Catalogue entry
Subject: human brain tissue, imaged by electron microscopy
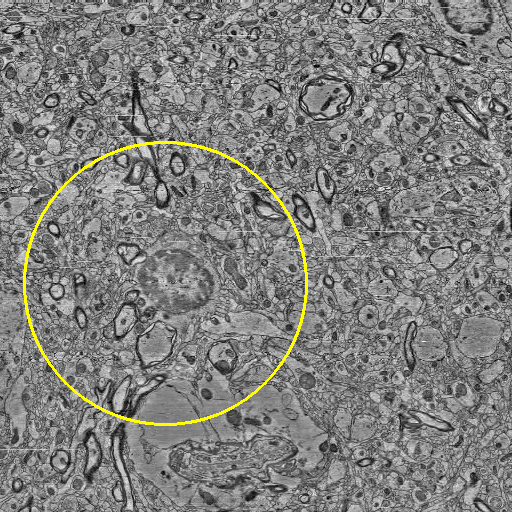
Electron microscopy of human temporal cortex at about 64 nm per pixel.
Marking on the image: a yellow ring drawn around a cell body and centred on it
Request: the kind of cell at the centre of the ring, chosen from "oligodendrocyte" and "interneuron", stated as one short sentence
The ring has an oligodendrocyte at its centre.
